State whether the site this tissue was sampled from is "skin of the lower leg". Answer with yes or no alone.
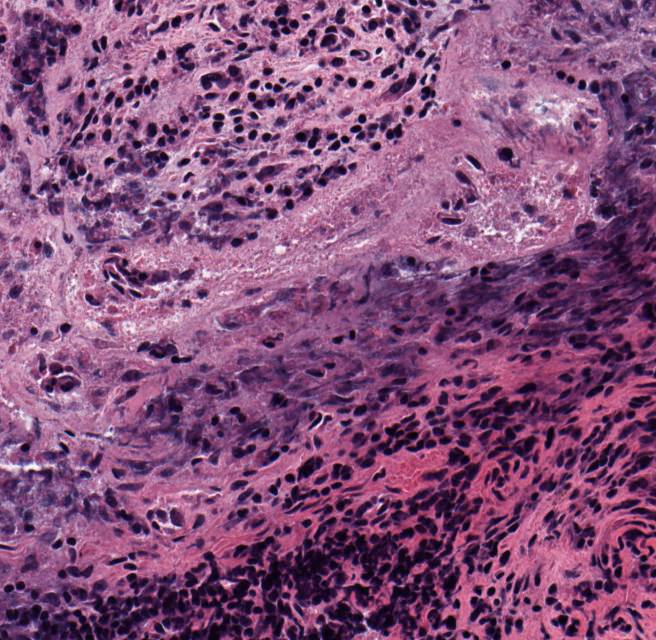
no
